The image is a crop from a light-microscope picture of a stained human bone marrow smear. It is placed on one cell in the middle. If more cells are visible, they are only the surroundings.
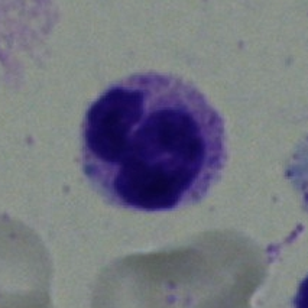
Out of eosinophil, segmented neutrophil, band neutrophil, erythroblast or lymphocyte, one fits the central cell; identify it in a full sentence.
Classified as a segmented neutrophil is the cell in the middle of this crop.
